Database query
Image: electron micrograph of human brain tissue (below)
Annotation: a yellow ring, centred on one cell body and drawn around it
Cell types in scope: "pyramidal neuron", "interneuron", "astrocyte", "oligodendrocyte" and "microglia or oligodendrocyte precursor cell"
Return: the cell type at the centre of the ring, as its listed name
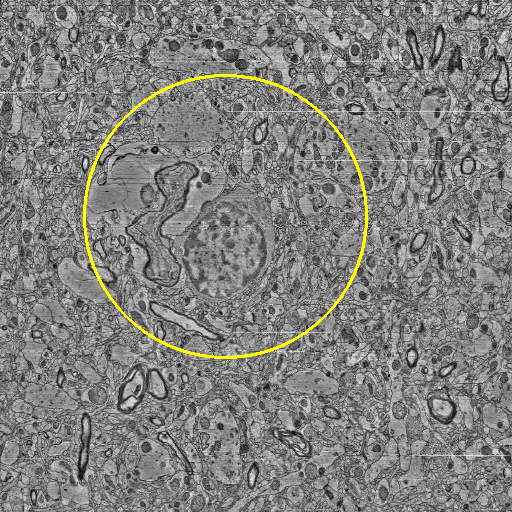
oligodendrocyte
